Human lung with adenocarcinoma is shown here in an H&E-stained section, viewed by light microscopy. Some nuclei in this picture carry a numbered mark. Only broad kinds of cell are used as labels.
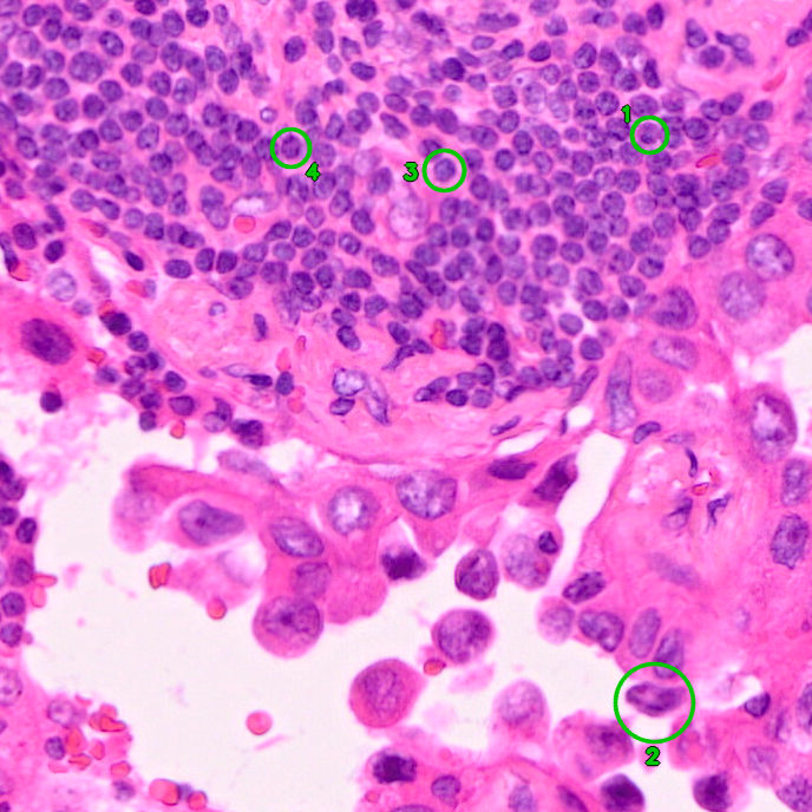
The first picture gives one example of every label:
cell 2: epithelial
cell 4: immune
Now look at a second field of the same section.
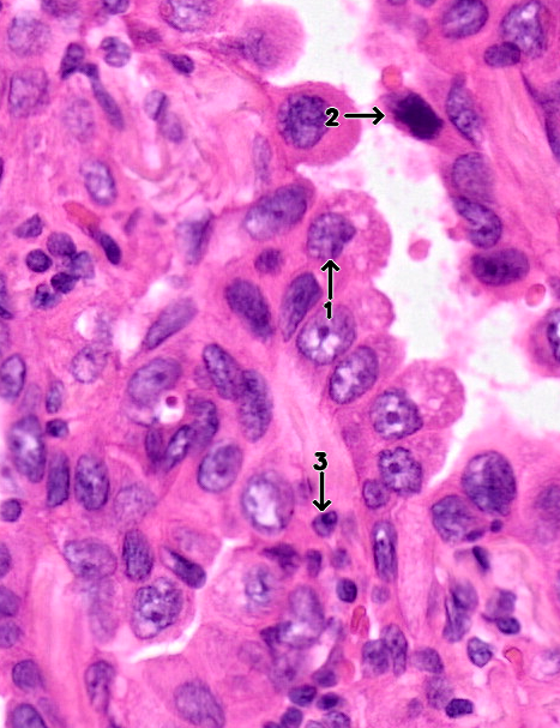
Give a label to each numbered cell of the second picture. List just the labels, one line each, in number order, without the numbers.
epithelial
epithelial
immune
